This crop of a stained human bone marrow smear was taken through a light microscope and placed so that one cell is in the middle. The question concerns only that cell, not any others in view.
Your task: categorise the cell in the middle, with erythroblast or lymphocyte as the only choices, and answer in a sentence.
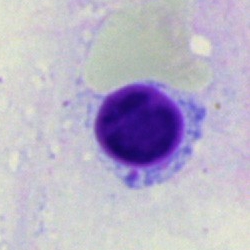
Here the cell in the middle is a lymphocyte.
